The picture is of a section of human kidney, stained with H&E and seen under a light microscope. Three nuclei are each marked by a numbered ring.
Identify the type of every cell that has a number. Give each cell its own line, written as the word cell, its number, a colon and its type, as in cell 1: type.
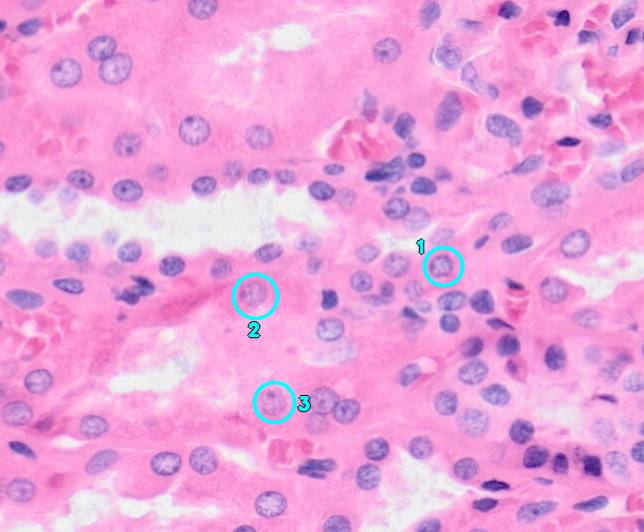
cell 1: loop of Henle or distal tubule cell
cell 2: proximal tubule cell
cell 3: proximal tubule cell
